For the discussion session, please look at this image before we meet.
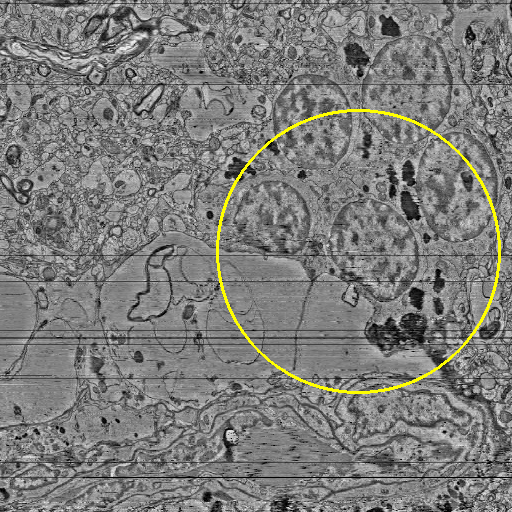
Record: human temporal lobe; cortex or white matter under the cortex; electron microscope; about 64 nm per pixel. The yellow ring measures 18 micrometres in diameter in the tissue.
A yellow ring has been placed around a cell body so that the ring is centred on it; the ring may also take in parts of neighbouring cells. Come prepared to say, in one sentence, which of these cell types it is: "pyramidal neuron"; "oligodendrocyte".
The cell centred in the ring is an oligodendrocyte.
